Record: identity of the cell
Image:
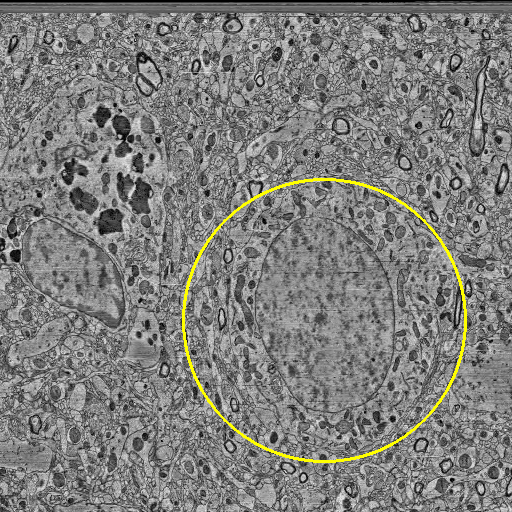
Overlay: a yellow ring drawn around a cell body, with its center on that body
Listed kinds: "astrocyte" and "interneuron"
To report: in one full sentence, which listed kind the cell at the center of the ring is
In the image, the cell body at the ring's center belongs to an interneuron.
